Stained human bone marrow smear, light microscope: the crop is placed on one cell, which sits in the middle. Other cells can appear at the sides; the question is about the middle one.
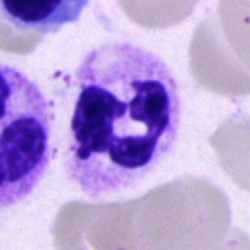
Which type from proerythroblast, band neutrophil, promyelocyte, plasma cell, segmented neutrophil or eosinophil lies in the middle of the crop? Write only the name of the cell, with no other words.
segmented neutrophil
